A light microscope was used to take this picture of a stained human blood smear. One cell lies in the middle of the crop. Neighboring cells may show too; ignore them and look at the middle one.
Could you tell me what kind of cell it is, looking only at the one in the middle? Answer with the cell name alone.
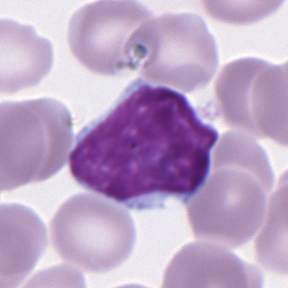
typical lymphocyte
